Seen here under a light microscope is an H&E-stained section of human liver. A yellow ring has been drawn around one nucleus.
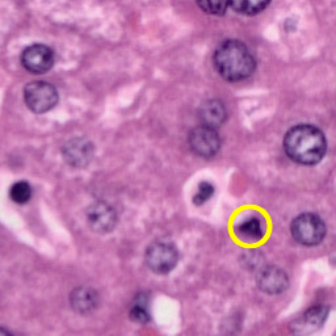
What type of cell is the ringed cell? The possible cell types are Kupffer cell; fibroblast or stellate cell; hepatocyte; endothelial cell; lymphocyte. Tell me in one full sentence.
As for its identity, the ringed cell is a fibroblast or stellate cell.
